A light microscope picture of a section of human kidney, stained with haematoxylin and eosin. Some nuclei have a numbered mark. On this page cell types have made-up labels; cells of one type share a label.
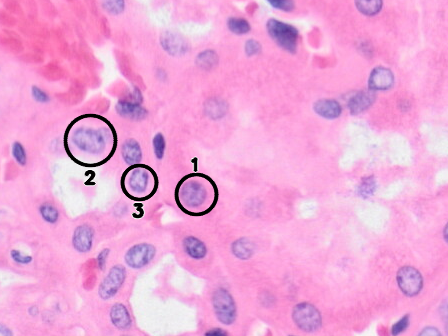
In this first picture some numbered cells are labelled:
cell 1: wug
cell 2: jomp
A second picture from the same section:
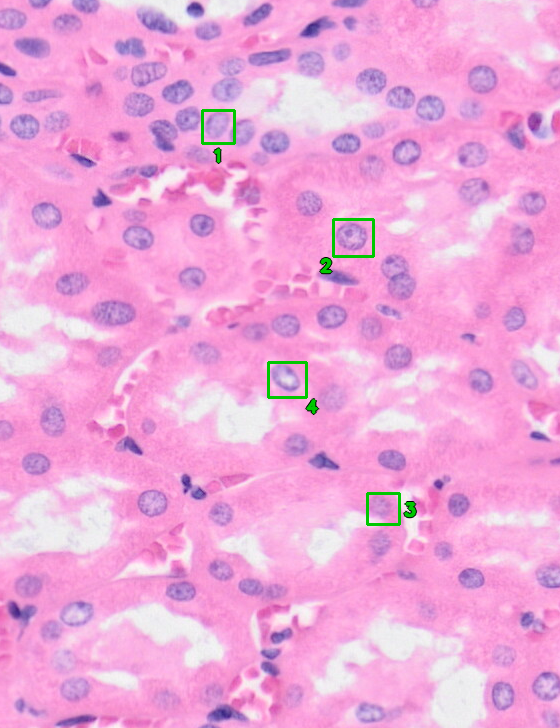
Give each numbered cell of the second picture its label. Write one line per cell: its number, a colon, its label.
1: jomp
2: wug
3: wug
4: wug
